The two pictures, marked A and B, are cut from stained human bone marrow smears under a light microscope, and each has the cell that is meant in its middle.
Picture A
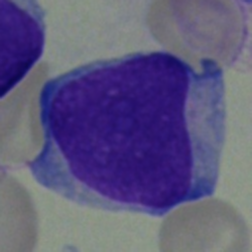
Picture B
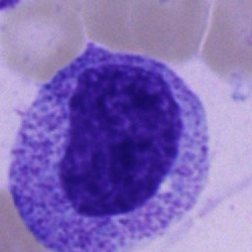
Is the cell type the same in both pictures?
no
